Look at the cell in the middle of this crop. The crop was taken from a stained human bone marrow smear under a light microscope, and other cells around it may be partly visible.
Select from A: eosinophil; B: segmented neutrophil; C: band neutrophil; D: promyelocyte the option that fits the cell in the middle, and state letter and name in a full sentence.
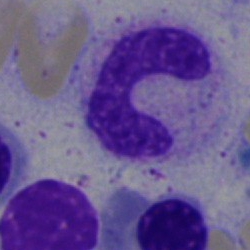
Since the cell in the centre is a band neutrophil, the correct option is C.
